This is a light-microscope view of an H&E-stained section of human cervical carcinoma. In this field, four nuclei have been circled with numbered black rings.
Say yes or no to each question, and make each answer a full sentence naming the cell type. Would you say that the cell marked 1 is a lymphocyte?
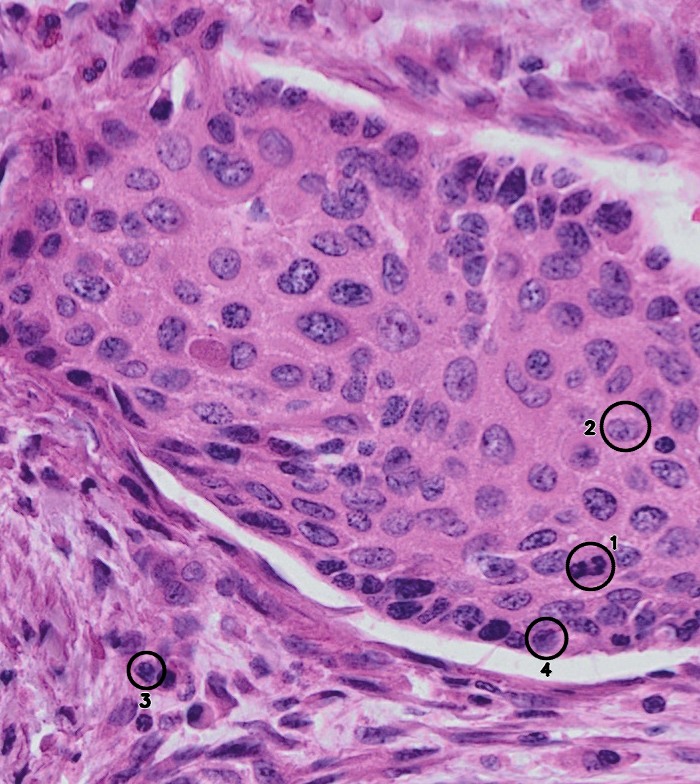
No, calling cell 1 a lymphocyte is a mistake; it is a squamous carcinoma cell.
